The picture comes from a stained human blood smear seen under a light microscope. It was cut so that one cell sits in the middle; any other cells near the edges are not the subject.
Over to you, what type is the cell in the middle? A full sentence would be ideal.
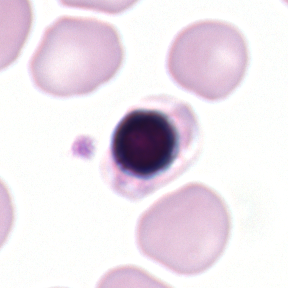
In the center of this field lies a normoblast.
